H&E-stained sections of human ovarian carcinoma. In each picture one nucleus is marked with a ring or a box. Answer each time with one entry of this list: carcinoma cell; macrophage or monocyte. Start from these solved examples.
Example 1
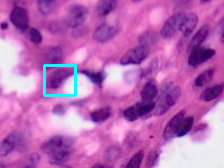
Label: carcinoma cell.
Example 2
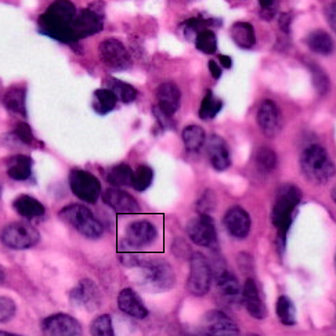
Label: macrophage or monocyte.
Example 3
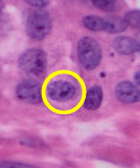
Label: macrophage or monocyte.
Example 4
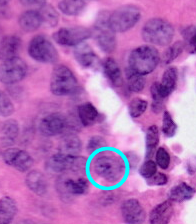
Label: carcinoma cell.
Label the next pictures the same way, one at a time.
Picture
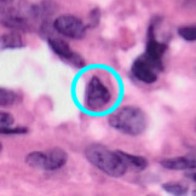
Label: macrophage or monocyte.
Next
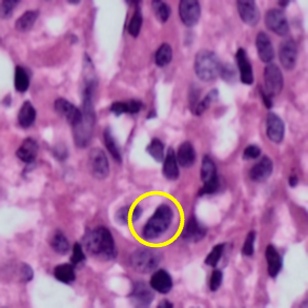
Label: macrophage or monocyte.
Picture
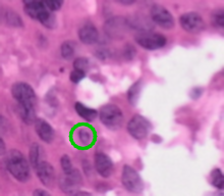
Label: macrophage or monocyte.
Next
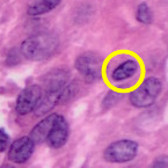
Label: macrophage or monocyte.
